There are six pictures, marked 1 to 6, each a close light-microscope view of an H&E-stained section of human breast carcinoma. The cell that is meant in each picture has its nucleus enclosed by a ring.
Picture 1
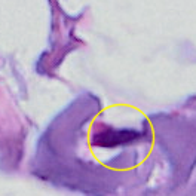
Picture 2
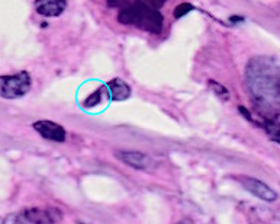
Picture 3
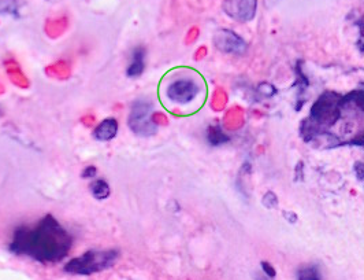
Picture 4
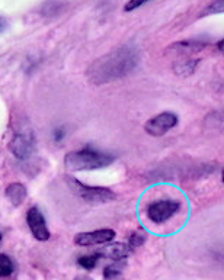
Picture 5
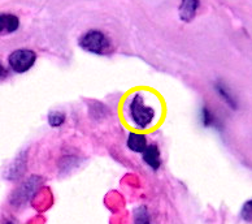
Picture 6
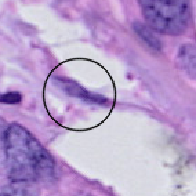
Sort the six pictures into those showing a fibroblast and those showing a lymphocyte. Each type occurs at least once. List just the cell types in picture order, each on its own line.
fibroblast
lymphocyte
lymphocyte
lymphocyte
lymphocyte
fibroblast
